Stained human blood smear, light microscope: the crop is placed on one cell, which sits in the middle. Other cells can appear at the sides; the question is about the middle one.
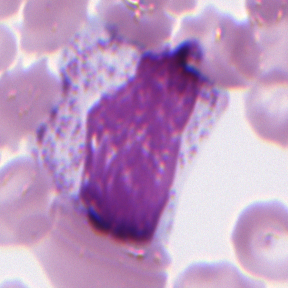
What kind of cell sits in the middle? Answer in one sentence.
The cell occupying the middle of the crop is a myelocyte.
